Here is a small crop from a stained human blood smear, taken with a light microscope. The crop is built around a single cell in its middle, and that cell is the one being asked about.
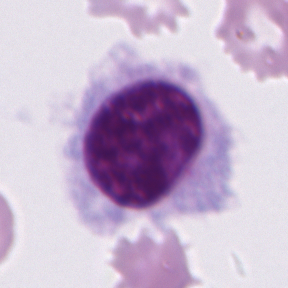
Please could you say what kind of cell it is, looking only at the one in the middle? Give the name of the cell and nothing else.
hairy cell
